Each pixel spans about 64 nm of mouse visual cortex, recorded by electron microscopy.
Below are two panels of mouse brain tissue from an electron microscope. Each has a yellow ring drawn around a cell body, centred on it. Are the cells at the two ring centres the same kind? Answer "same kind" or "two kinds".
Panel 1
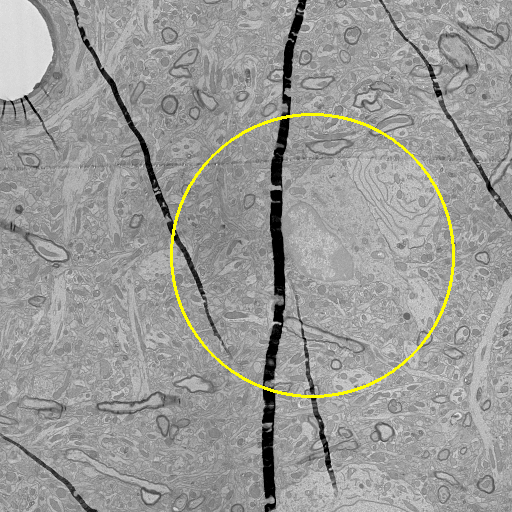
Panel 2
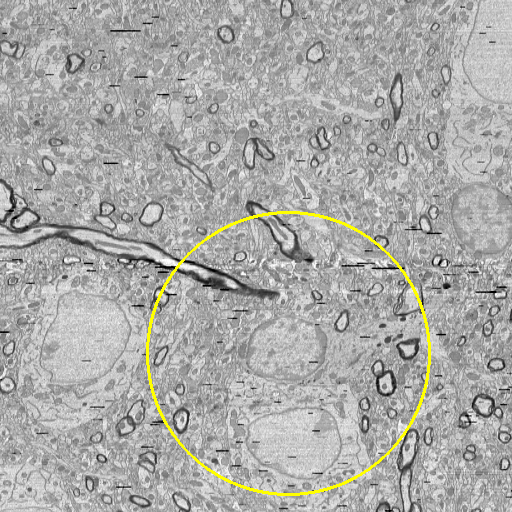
same kind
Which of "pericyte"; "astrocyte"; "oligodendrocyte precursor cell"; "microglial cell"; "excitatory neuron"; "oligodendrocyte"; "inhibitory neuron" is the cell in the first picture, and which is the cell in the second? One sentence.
In both pictures the ring is centred on an oligodendrocyte.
